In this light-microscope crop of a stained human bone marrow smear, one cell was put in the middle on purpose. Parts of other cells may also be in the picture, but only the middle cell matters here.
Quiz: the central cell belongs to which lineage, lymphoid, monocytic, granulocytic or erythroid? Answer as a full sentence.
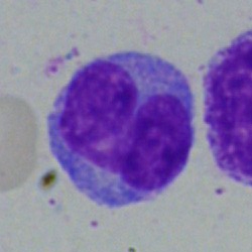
The cell sitting in the middle of this crop is of the monocytic line.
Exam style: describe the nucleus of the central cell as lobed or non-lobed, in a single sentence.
In short, this nucleus is segmented into two or more parts.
